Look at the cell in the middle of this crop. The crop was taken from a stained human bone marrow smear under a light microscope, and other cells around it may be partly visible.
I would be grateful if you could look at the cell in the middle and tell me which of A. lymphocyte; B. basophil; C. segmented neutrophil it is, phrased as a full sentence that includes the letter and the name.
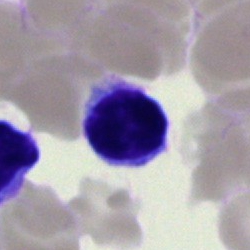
Option A correctly names the cell in the middle as a lymphocyte.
